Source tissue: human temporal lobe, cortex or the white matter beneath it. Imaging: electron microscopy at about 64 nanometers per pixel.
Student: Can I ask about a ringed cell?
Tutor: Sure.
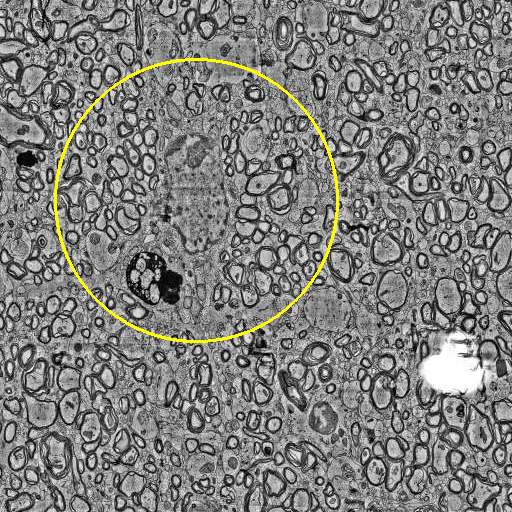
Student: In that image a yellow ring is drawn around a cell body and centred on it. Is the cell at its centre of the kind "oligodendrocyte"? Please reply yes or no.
No, the cell is of another kind.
